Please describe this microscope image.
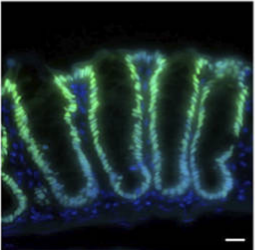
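This is colonic mucosa cut along the crypt axis, showing parallel test-tube-shaped crypts. The crypt bases sit on a thin band of muscle at the bottom of the mucosa.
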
